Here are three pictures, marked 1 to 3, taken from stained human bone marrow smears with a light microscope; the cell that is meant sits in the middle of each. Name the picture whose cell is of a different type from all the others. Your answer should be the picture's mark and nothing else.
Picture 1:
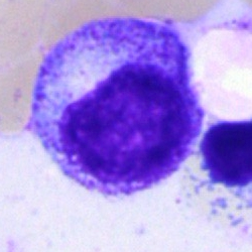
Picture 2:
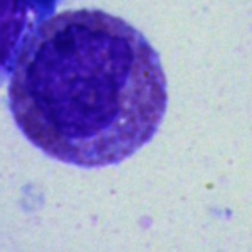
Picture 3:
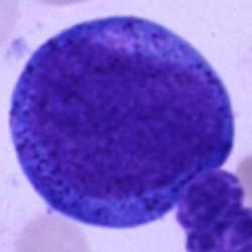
2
